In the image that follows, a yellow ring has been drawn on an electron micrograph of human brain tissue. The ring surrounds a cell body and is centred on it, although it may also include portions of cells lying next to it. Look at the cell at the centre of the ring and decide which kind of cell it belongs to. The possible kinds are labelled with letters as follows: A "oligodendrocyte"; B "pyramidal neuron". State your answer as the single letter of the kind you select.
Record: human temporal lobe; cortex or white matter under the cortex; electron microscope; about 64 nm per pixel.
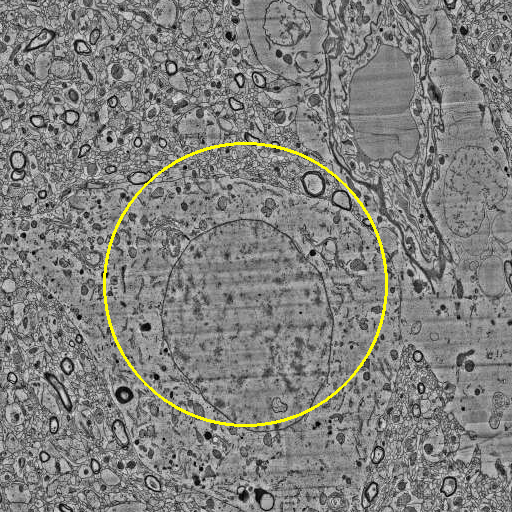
B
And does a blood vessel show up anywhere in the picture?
Yes, a blood vessel shows in the picture.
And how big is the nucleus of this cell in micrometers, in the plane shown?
The ringed cell's nucleus measures approximately 14 by 11 micrometres in this plane.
